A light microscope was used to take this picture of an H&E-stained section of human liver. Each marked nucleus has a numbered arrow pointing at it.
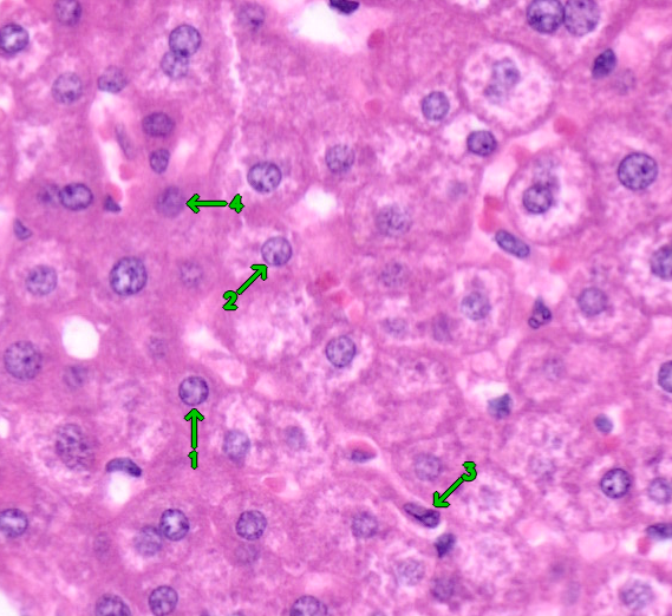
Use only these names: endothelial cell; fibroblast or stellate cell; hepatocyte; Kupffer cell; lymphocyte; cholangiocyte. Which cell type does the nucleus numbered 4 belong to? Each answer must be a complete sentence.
Cell 4 is classified as a hepatocyte.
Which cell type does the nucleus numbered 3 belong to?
The cell to which the number 3 is assigned is a Kupffer cell.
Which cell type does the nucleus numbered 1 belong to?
Belonging to a hepatocyte is the nucleus that carries the number 1.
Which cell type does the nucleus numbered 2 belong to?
The cell referred to as 2 is a hepatocyte.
